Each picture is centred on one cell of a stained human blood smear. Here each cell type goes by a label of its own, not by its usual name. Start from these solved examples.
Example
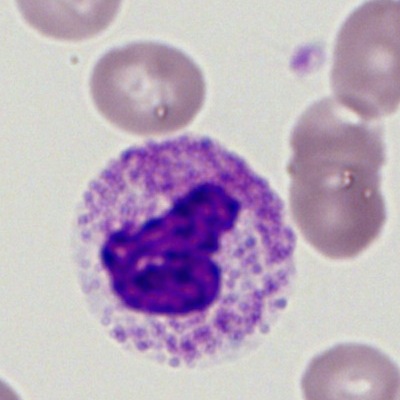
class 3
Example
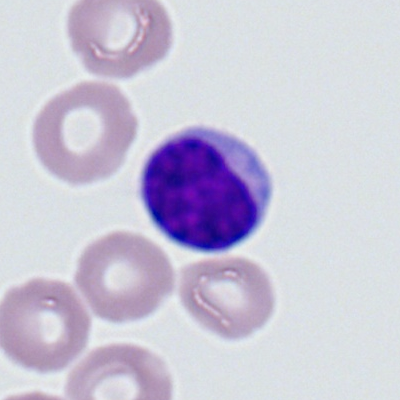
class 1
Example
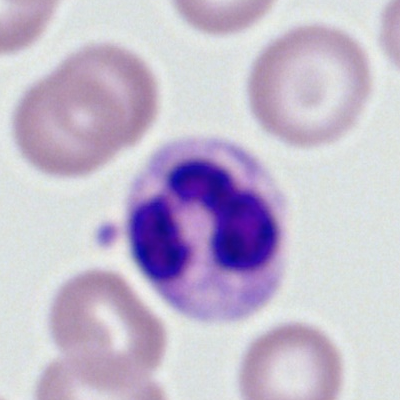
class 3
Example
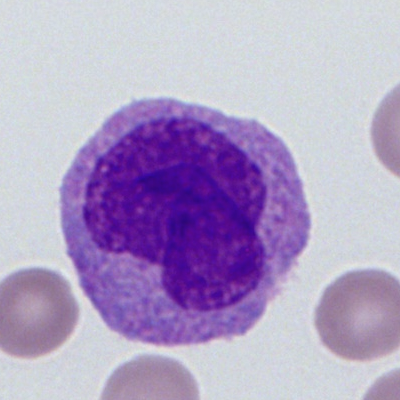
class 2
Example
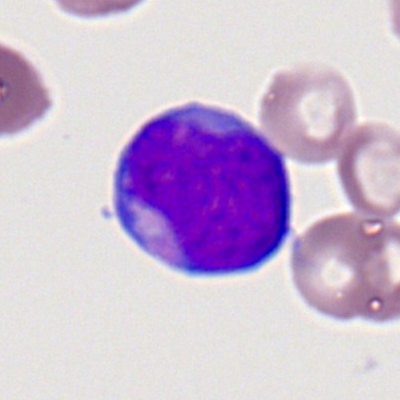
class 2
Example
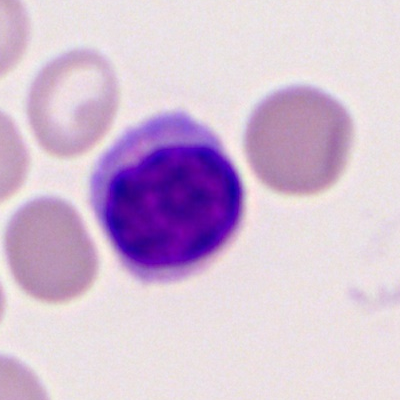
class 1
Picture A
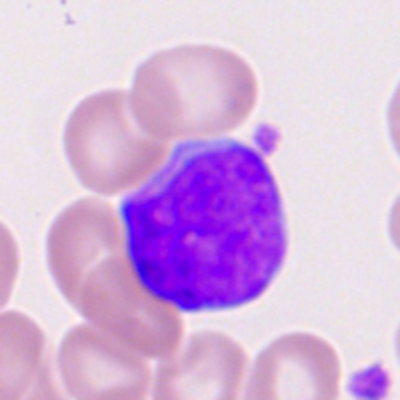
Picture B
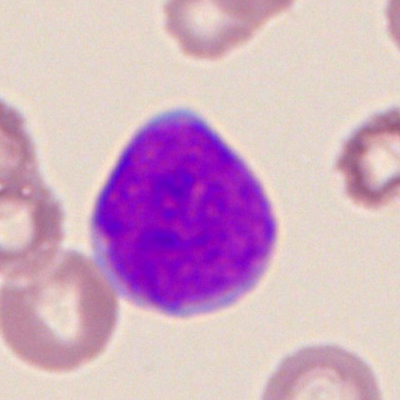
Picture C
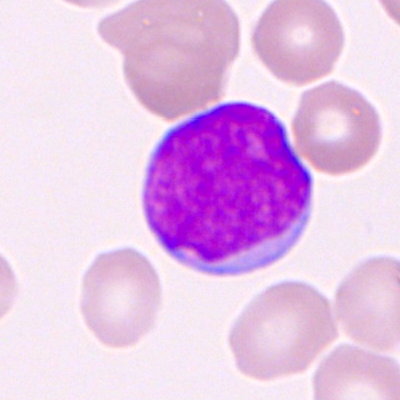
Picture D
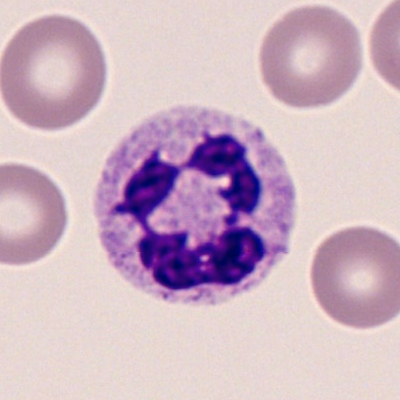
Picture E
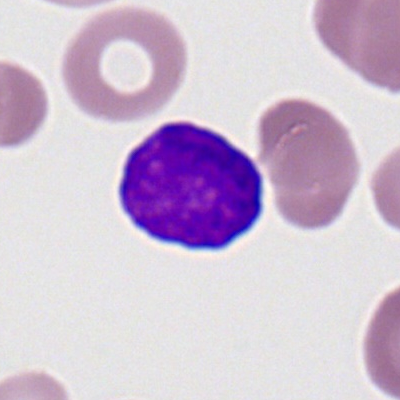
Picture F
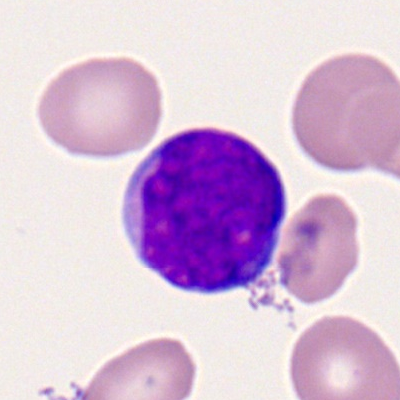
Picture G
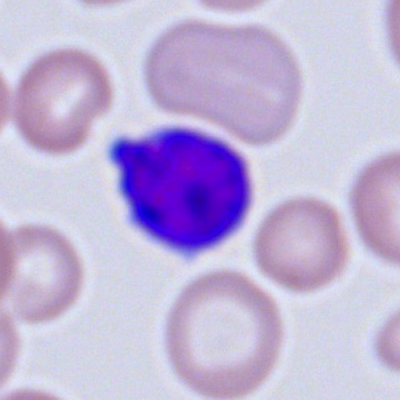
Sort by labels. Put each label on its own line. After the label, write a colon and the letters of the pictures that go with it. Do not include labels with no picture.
class 3: D
class 1: E, G
class 2: A, B, C, F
